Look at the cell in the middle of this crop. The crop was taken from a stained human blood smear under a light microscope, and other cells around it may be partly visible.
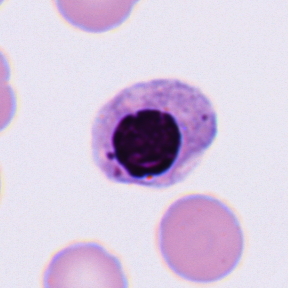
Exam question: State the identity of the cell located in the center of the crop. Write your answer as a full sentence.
The middle cell in this particular crop is an erythroblast.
